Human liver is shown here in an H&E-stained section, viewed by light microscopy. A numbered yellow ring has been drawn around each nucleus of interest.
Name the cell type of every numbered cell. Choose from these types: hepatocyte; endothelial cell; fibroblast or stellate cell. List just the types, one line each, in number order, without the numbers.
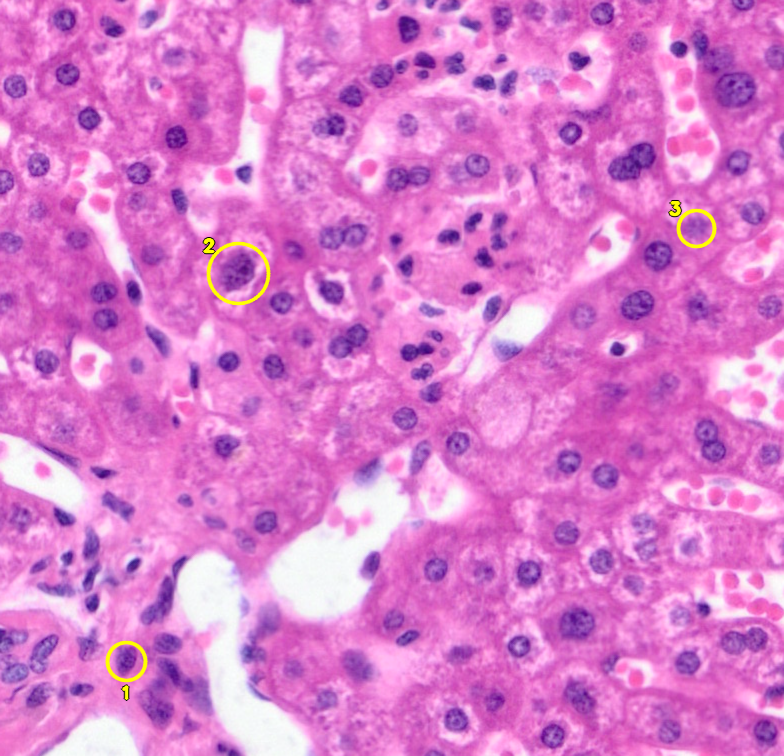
fibroblast or stellate cell
hepatocyte
hepatocyte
